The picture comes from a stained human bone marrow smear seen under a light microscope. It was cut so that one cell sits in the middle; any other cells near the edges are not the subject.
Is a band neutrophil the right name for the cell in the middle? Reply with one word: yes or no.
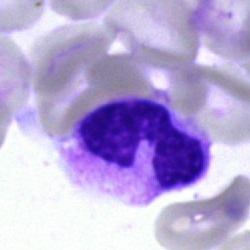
yes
